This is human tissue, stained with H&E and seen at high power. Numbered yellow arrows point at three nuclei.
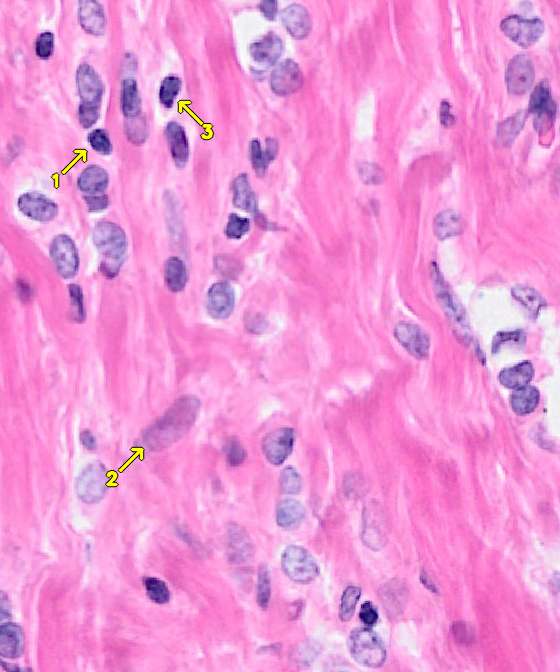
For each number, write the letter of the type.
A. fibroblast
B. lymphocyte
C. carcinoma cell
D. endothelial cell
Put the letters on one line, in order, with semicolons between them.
B; A; B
